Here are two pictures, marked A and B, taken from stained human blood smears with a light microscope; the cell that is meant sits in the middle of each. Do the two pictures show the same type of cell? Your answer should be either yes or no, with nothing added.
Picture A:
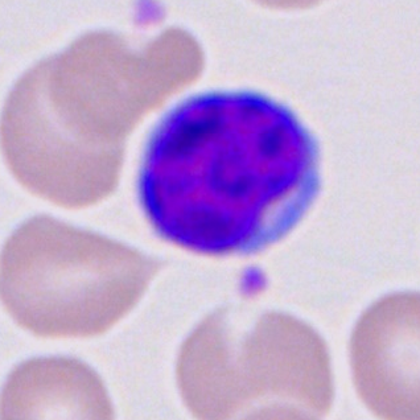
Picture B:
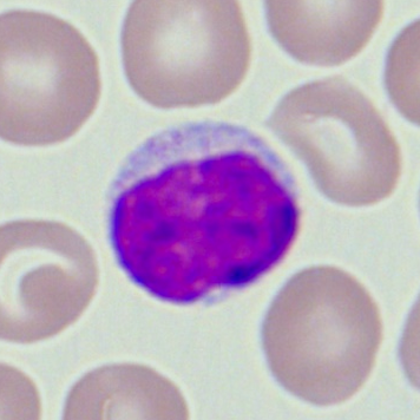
yes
